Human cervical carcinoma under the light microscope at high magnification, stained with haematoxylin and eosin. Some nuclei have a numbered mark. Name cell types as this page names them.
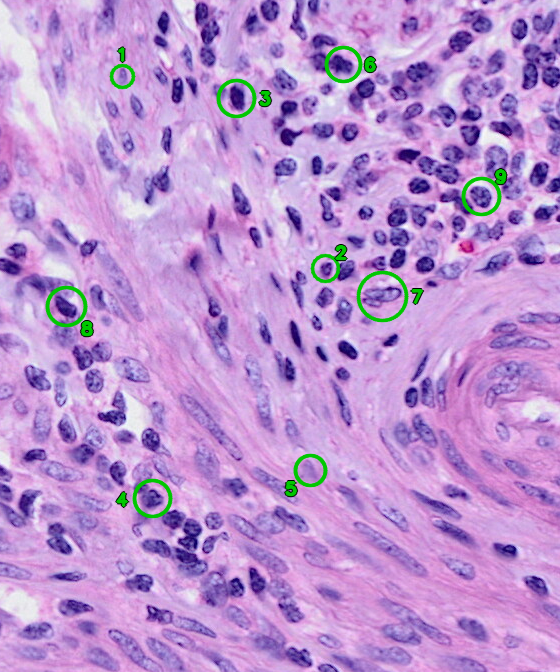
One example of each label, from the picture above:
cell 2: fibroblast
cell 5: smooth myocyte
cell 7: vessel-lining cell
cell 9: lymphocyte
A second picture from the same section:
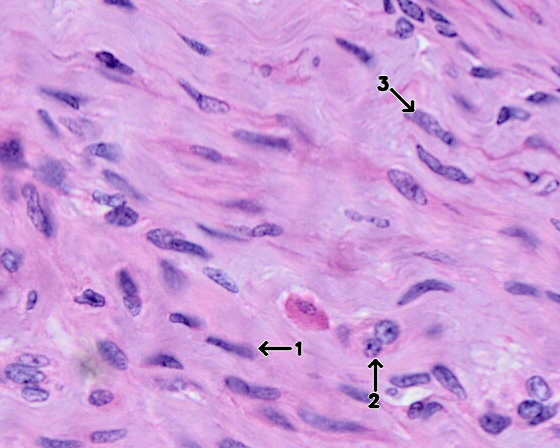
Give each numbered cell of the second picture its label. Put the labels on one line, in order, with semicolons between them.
fibroblast; vessel-lining cell; smooth myocyte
